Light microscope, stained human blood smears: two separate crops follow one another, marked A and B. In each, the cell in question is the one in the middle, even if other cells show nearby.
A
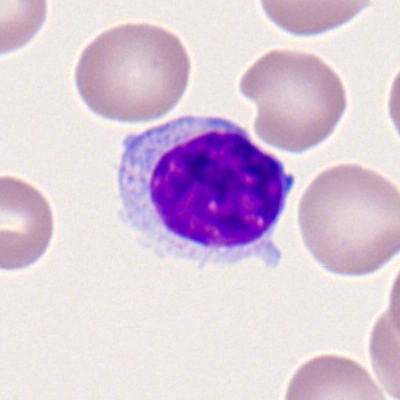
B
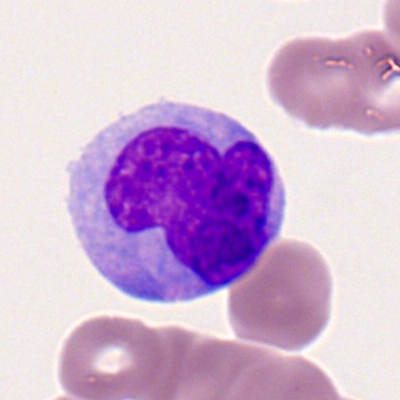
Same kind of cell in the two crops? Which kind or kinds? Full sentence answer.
No, in fact crop A shows a lymphocyte, and crop B shows a monocyte.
